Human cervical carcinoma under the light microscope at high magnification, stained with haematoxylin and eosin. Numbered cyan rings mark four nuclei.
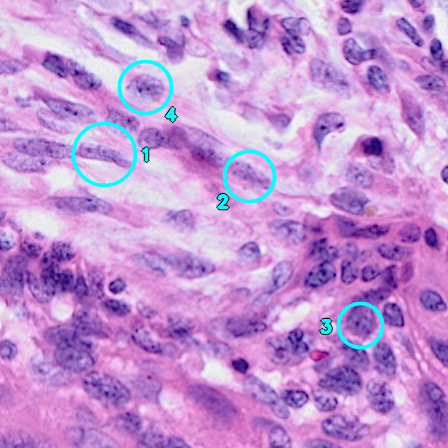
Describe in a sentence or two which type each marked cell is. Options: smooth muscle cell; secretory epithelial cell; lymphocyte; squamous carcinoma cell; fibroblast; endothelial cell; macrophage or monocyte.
Cells 1, 2 and 4 are fibroblasts. Cell 3 is a squamous carcinoma cell.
